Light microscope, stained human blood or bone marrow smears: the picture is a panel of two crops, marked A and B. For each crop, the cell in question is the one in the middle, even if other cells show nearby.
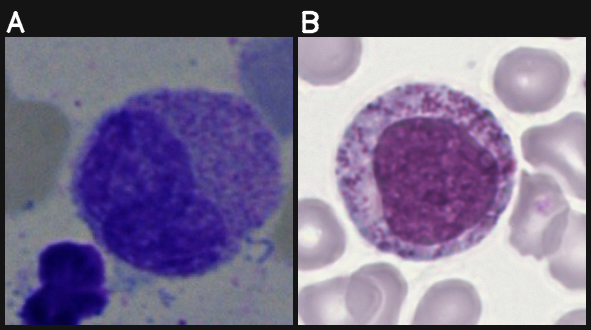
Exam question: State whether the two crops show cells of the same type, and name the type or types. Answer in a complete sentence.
Yes, shown in both crops are myelocytes.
